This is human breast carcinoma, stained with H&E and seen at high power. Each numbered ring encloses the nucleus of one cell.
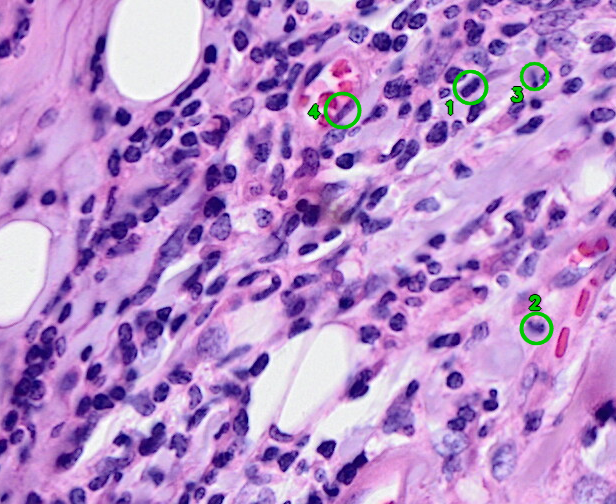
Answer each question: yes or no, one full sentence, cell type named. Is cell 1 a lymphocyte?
Yes, on this slide, the cell with number 1 is a lymphocyte.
